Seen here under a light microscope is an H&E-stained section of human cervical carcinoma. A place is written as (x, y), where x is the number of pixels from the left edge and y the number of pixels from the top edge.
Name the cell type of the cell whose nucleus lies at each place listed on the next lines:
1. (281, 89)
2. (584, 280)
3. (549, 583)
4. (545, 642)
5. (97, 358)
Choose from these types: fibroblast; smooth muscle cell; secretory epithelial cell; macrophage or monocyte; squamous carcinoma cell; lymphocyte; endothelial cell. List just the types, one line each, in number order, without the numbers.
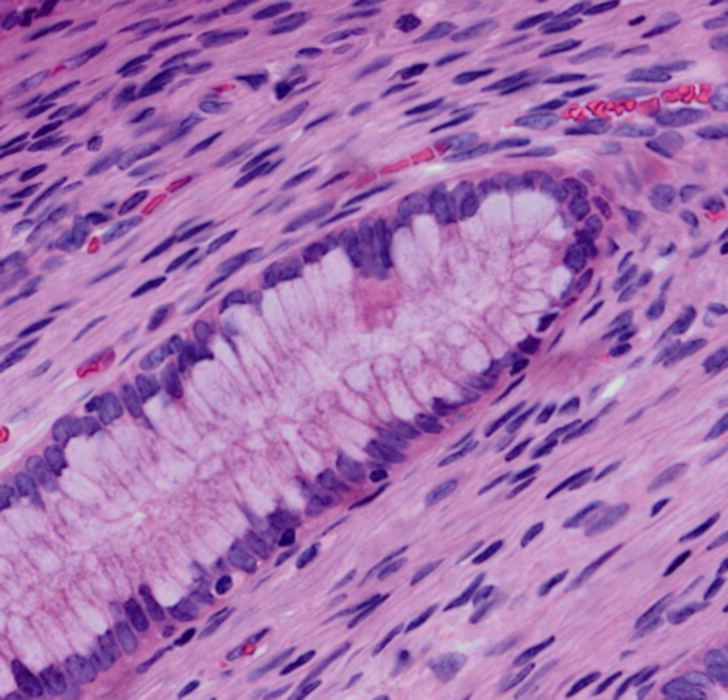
lymphocyte
secretory epithelial cell
fibroblast
fibroblast
endothelial cell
